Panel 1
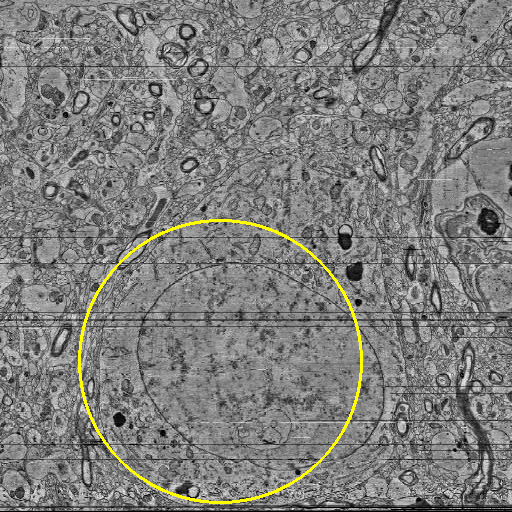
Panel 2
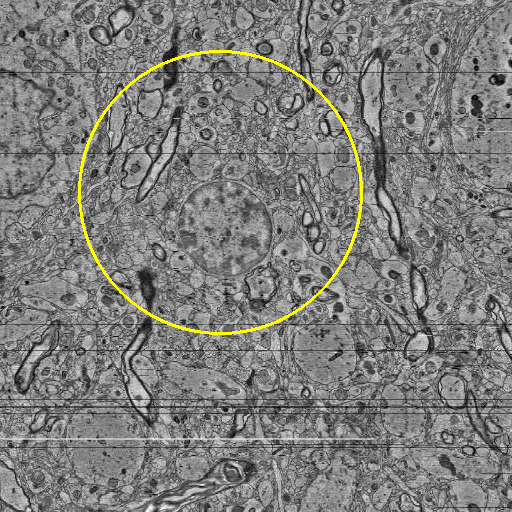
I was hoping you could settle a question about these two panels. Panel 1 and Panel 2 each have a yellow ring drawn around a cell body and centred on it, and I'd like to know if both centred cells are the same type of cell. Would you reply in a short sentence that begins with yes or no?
No, they are two types of cell.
